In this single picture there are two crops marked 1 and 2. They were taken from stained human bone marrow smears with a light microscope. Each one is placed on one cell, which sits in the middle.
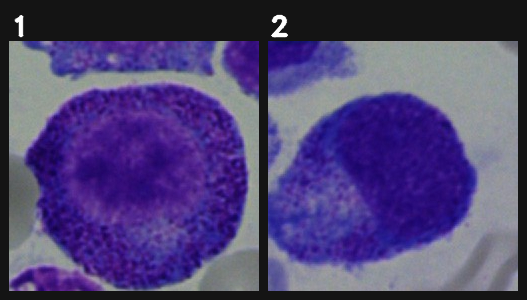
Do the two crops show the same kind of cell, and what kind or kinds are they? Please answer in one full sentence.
Yes, both crops depict promyelocytes at the centre.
